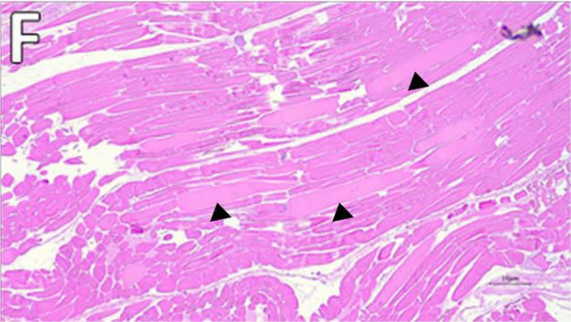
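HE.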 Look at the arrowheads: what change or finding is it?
cytoplasmic degeneration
